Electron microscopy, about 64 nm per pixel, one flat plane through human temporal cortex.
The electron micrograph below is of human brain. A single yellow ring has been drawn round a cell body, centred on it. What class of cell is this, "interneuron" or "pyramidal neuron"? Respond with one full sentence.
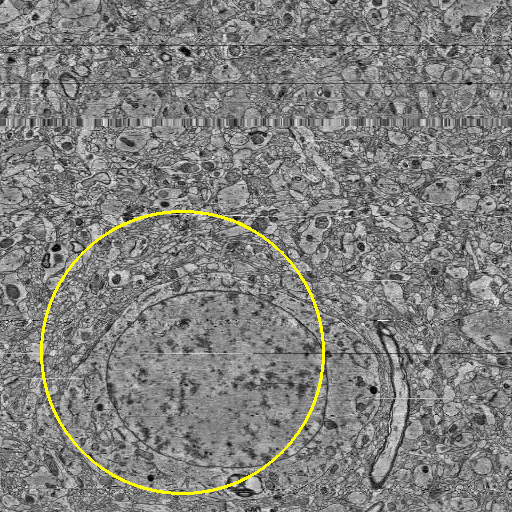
In the micrograph, the cell centred inside the yellow ring is a pyramidal neuron.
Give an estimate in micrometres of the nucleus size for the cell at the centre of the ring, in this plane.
Roughly 14 by 12 micrometres is the size of the nucleus in this plane.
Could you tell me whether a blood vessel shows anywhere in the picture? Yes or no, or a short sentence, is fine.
No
